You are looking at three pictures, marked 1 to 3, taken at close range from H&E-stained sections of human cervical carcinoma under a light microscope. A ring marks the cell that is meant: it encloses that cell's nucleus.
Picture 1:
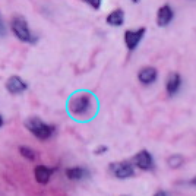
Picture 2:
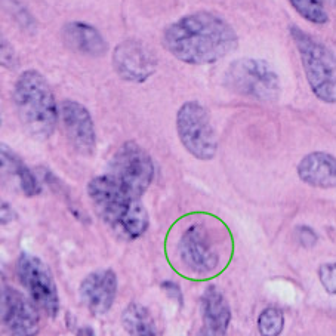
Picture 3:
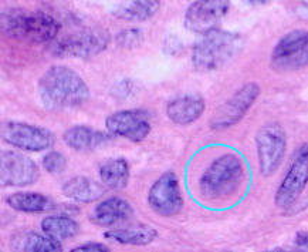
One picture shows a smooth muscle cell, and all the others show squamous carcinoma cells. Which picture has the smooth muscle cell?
1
